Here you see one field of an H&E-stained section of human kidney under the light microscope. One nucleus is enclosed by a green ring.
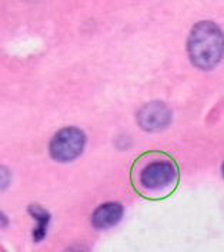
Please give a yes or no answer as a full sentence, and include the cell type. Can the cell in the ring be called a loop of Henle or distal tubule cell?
Yes, no change needed: the cell in the ring is a loop of Henle or distal tubule cell.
